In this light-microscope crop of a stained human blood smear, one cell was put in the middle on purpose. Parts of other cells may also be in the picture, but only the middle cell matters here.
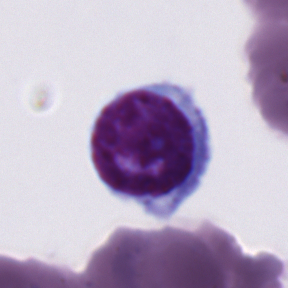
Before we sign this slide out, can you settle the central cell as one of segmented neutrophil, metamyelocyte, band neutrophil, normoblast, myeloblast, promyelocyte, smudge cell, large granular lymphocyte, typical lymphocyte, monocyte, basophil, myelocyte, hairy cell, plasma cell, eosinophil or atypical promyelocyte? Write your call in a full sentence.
In the centre of this crop there is a hairy cell.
